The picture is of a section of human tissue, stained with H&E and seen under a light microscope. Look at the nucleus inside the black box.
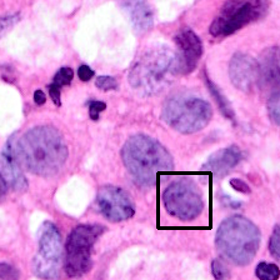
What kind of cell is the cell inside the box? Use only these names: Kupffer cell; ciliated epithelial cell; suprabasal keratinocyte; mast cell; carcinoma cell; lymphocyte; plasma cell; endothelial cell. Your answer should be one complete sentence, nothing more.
Assigned to a cell type, the cell inside the box is a carcinoma cell.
